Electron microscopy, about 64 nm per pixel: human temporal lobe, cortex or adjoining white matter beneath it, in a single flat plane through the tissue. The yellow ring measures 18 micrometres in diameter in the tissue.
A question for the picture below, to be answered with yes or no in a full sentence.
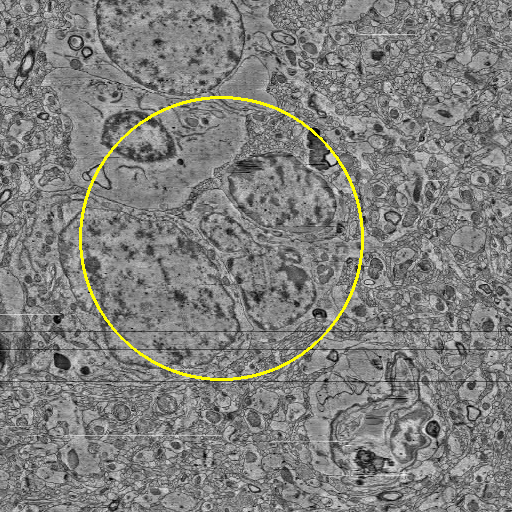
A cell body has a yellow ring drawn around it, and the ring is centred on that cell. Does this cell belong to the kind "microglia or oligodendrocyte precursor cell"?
Yes, the pictured cell at the ring's centre belongs to that kind.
